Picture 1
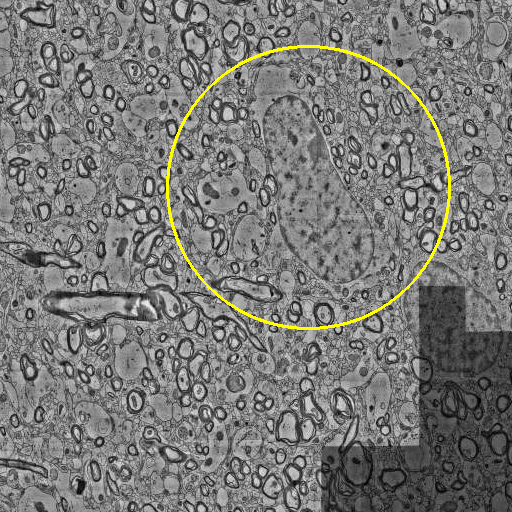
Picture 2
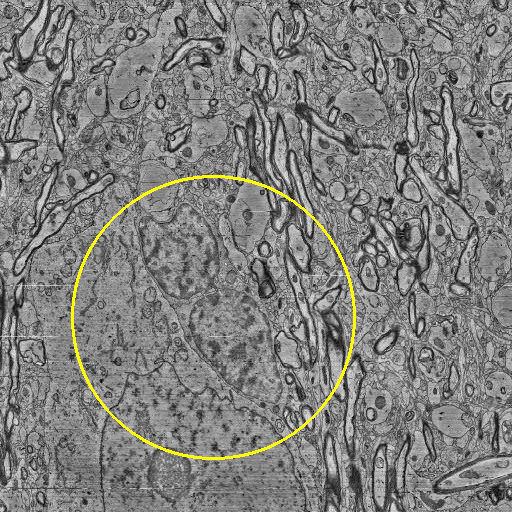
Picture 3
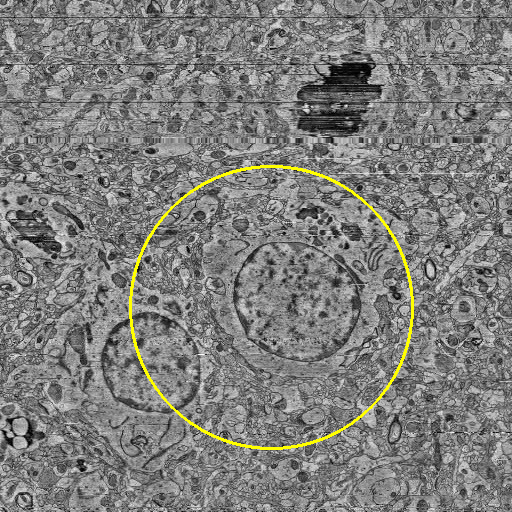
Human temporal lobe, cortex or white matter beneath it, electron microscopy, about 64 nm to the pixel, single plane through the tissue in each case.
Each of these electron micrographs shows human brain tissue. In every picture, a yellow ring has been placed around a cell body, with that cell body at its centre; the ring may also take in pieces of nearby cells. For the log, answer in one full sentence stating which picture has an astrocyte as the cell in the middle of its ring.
In picture 3, the cell at the centre of the yellow ring is the requested one.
